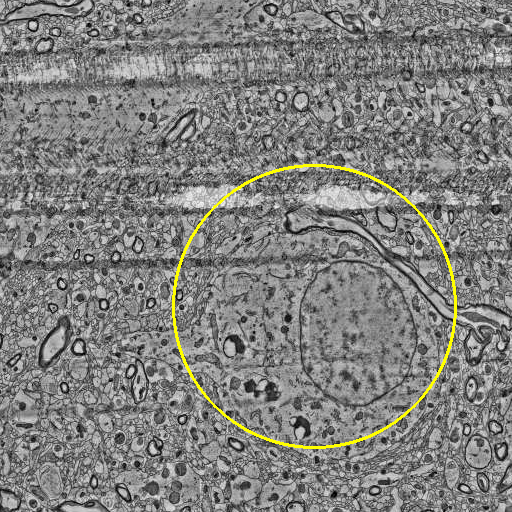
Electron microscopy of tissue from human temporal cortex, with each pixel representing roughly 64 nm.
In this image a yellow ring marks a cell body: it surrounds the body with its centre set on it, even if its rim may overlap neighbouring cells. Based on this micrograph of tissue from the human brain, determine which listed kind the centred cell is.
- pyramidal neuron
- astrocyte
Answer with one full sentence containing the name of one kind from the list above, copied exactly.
It is a pyramidal neuron whose body the yellow ring encloses at its centre.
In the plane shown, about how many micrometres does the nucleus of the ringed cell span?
The nucleus measures about 9 by 7 micrometres in this plane.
